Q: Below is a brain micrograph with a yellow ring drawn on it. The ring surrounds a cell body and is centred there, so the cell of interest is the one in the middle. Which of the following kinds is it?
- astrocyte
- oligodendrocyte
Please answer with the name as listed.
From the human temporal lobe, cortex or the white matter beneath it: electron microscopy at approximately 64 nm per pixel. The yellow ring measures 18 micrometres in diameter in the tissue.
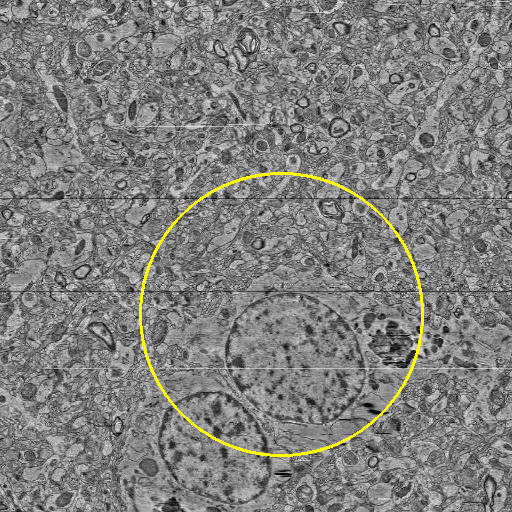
astrocyte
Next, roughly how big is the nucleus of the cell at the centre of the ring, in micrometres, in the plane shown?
In this plane, the nucleus measures approximately 9 micrometres across.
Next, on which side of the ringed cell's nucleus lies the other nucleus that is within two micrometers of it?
That other nucleus lies to the lower left of it.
